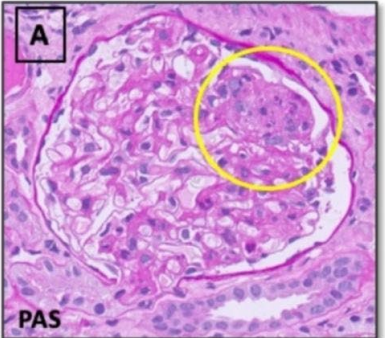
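A glomerulus with magenta-outlined capillary loops lies within Bowman's capsule, separated from it by a clear space; most loops are open, but one segment toward the upper right is crowded with nuclei that fill and obscure the capillary lumens. This segmental crowding inside the capillaries is a focus of endocapillary proliferation on a background of mesangial hypercellularity.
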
